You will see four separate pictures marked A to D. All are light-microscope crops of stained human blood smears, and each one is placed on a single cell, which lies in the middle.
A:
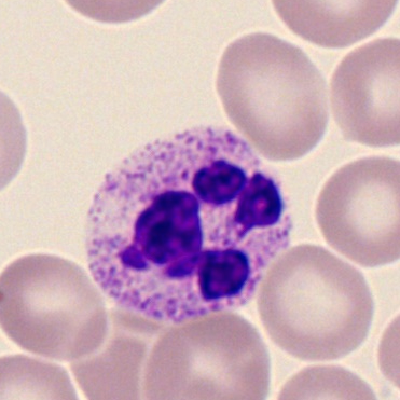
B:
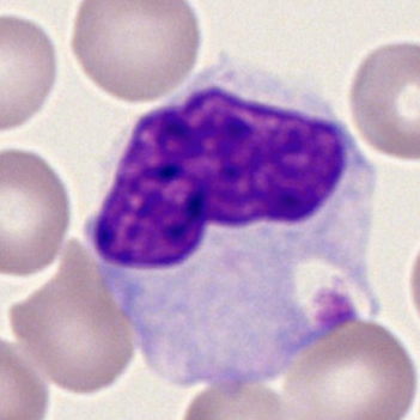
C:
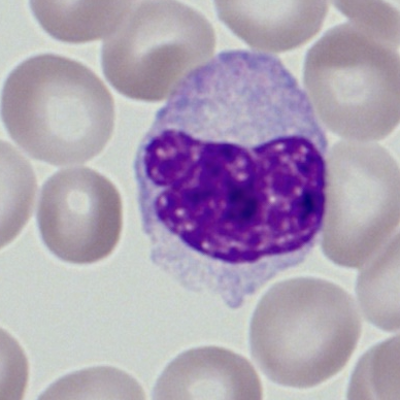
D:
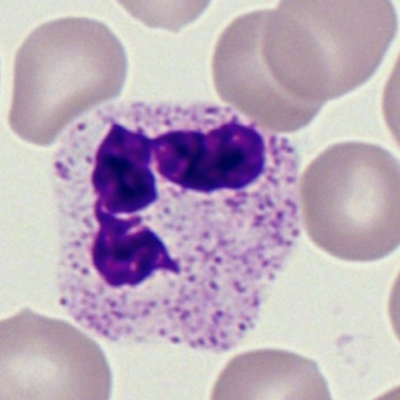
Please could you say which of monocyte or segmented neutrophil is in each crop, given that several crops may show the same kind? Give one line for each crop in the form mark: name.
A: segmented neutrophil
B: monocyte
C: monocyte
D: segmented neutrophil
